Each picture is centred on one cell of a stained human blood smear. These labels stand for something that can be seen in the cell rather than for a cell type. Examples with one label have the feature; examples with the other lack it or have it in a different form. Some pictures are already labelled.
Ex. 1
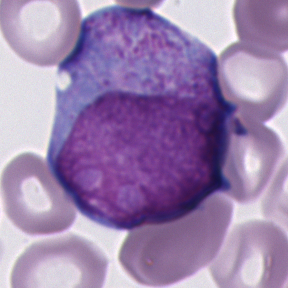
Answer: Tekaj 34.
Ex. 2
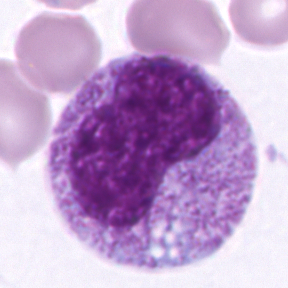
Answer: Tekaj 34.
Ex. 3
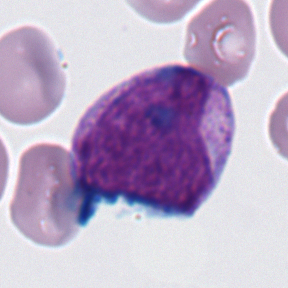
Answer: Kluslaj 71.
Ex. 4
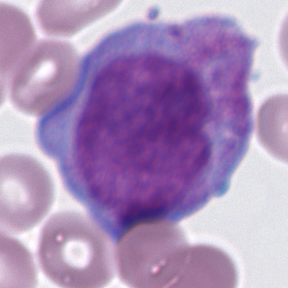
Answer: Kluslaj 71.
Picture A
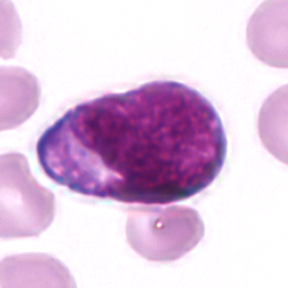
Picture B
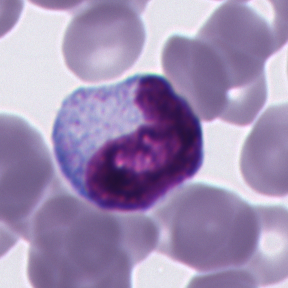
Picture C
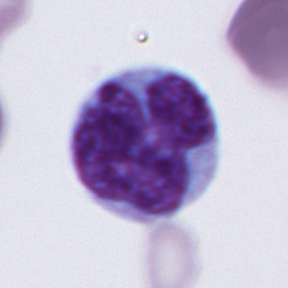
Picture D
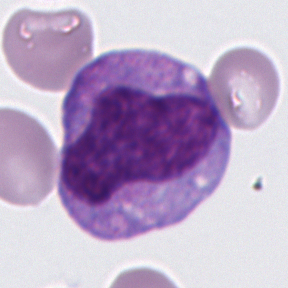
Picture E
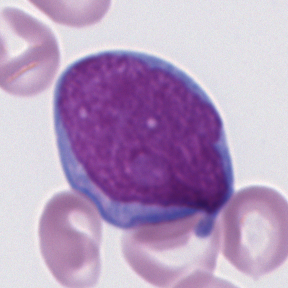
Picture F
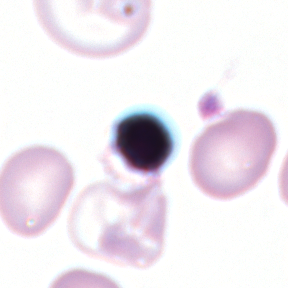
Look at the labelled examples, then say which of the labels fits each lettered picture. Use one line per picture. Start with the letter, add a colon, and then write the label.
A: Kluslaj 71.
B: Tekaj 34.
C: Kluslaj 71.
D: Tekaj 34.
E: Kluslaj 71.
F: Kluslaj 71.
